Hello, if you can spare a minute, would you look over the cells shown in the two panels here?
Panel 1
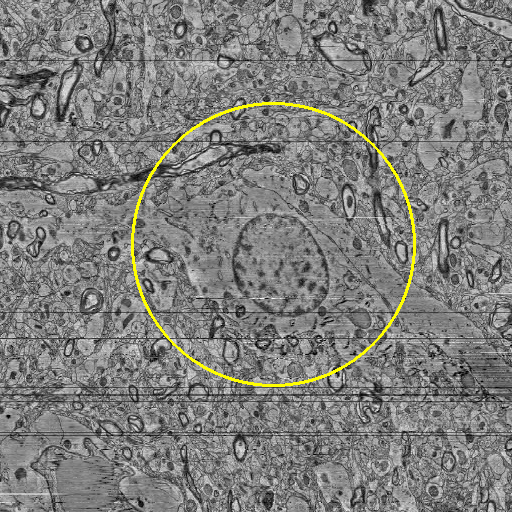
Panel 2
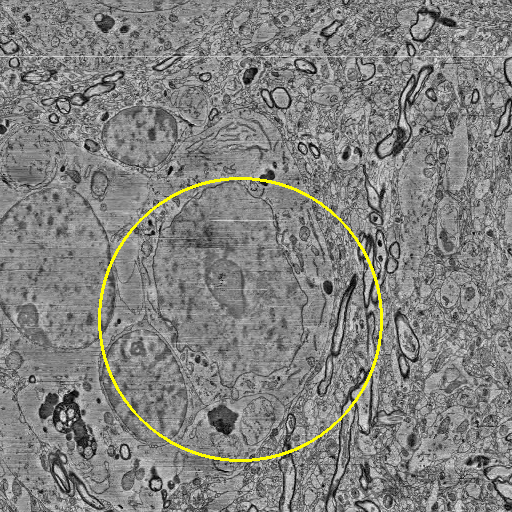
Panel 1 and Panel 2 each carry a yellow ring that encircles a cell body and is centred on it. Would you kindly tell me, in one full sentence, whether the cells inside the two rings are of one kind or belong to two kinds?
The cells at the centres of the rings in Panel 1 and Panel 2 belong to two kinds.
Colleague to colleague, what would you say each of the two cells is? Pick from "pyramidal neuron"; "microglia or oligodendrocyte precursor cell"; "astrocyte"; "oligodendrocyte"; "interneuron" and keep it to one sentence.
The cell in the first picture is an astrocyte; the second picture's cell is a pyramidal neuron.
